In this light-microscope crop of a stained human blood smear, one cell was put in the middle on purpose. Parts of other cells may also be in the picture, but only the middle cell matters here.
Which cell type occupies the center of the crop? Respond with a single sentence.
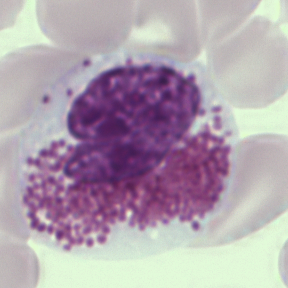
To answer, the cell in the center of the crop is an eosinophil.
